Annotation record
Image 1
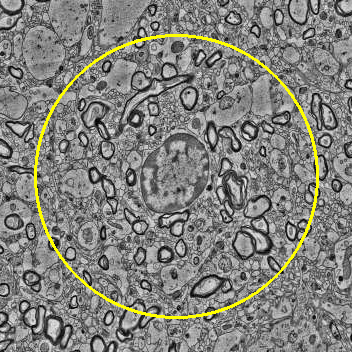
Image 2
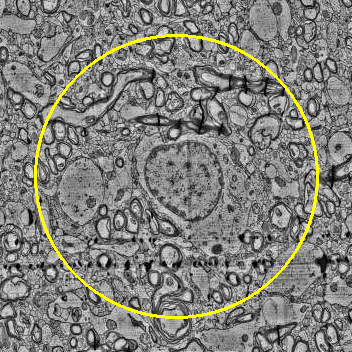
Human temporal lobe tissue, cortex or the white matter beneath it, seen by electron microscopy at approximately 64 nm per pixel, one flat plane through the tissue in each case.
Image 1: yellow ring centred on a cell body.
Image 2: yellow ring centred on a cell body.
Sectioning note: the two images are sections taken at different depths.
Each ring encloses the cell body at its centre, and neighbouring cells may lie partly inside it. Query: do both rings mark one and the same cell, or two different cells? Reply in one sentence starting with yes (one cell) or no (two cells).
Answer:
No, the two yellow rings correspond to two separate cells.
